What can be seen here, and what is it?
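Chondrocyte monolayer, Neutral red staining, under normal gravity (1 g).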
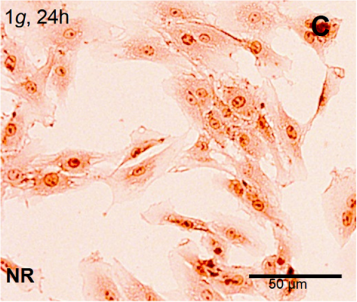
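The cells are flattened and spread, polygonal to elongated or spindle-shaped, many with several tapering cytoplasmic processes. Each has a single oval nucleus, stained a deeper orange-red, often with one or two darker nucleoli. The cytoplasm is pale orange and carries fine darker red granules, most densely around the nucleus. Some cells lie in small groups whose processes touch their neighbours. A few smaller, rounded cells stain more densely red.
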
